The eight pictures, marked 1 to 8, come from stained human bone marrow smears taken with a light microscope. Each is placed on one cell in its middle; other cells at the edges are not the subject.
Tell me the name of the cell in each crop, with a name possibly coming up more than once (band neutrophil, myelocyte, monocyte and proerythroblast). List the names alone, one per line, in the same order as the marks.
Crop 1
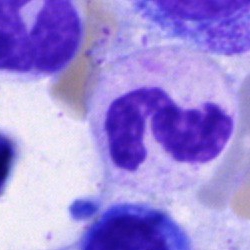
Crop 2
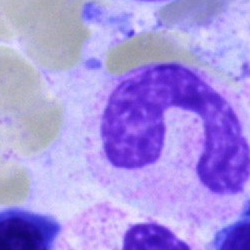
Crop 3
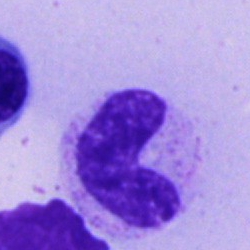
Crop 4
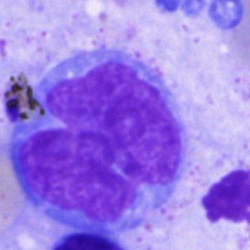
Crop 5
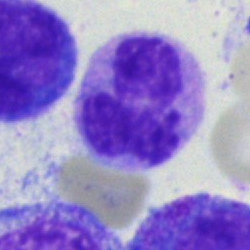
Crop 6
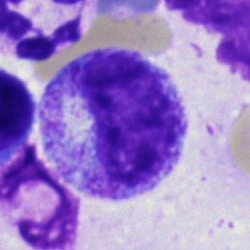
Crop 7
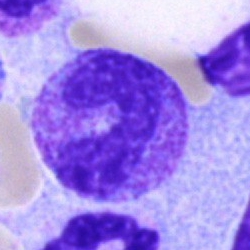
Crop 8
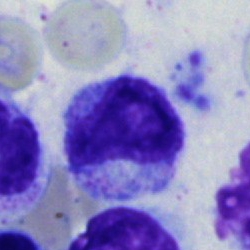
band neutrophil
band neutrophil
band neutrophil
monocyte
monocyte
myelocyte
band neutrophil
monocyte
